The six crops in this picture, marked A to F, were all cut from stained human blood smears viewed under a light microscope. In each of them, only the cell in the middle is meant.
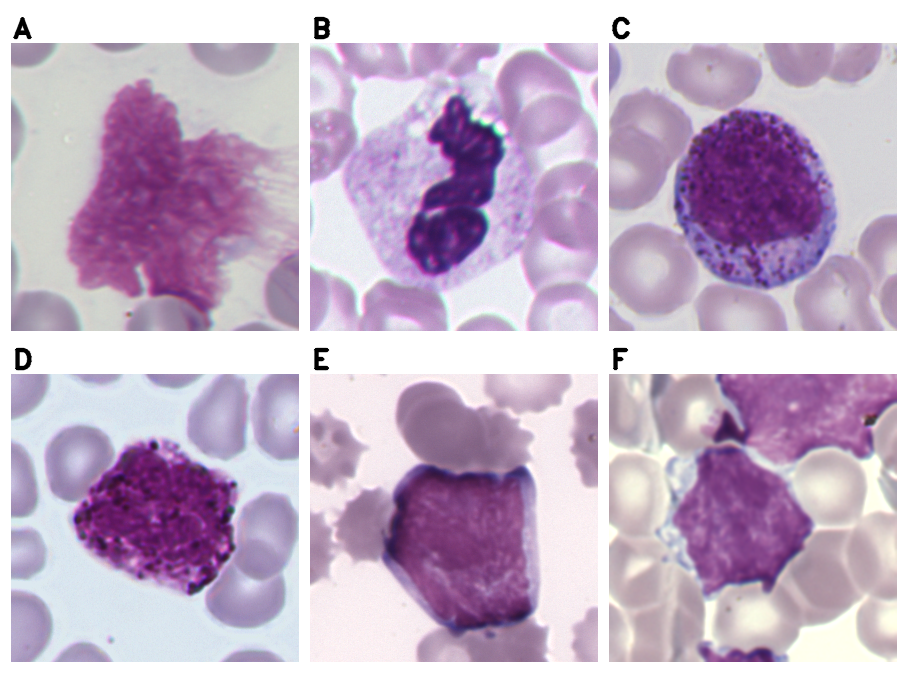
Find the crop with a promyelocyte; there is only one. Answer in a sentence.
The one crop in the set with a promyelocyte is crop C.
